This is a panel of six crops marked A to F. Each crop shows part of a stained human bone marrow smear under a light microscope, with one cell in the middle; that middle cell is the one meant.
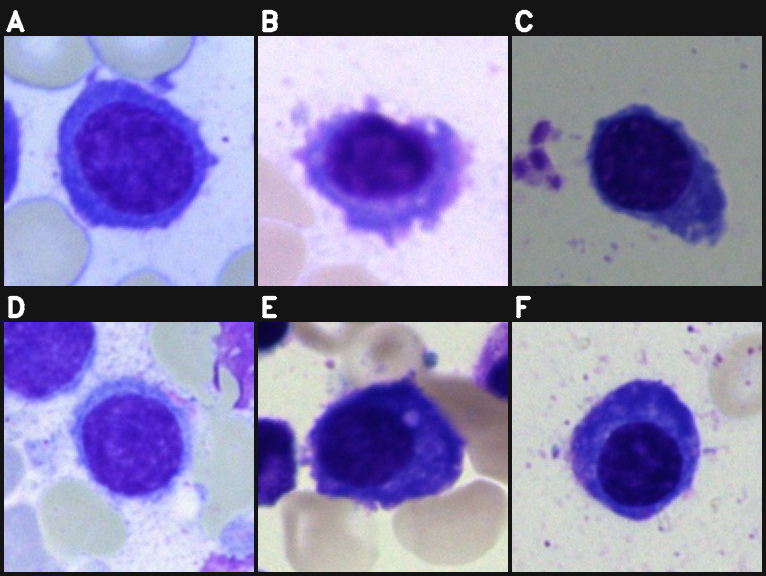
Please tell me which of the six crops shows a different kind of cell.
D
